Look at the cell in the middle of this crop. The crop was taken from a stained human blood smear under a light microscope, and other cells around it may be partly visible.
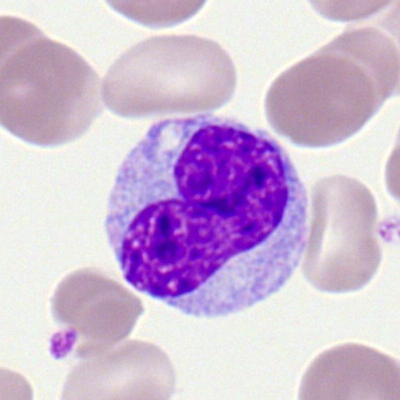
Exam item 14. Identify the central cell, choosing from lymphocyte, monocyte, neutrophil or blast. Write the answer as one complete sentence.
The centered cell in this crop is a monocyte.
